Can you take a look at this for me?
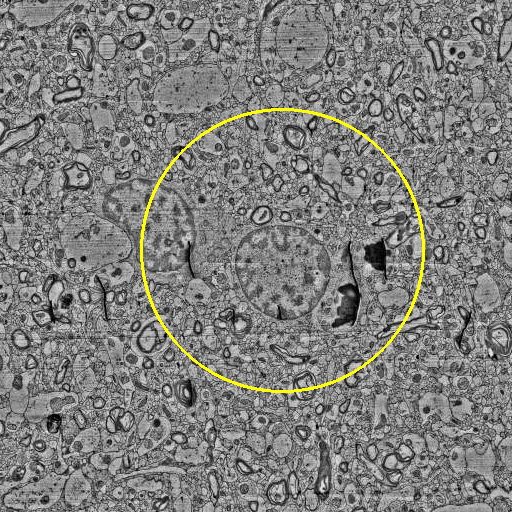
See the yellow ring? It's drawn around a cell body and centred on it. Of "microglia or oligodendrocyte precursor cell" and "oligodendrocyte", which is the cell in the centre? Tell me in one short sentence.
The one in the centre is an oligodendrocyte.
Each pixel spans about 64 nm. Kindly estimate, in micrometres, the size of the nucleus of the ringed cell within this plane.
Roughly 6 micrometers across in this plane.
